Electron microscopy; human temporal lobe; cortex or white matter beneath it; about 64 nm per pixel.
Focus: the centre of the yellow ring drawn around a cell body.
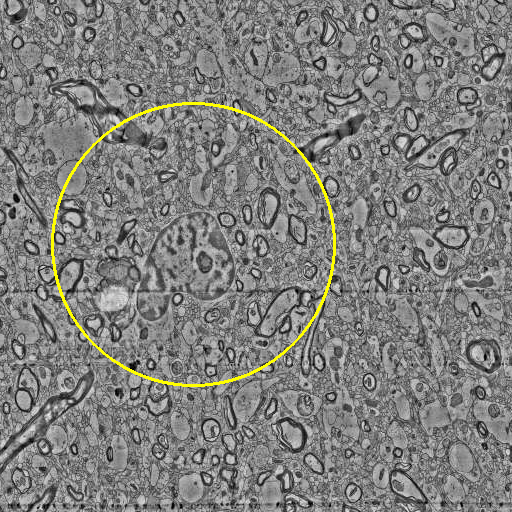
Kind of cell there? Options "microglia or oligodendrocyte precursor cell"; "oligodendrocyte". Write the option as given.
microglia or oligodendrocyte precursor cell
